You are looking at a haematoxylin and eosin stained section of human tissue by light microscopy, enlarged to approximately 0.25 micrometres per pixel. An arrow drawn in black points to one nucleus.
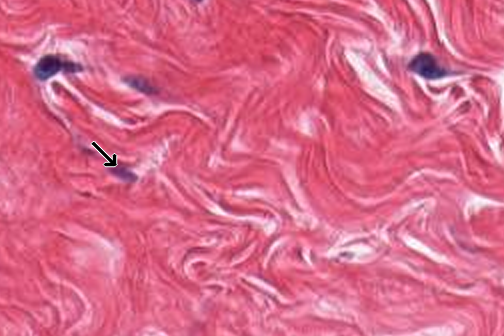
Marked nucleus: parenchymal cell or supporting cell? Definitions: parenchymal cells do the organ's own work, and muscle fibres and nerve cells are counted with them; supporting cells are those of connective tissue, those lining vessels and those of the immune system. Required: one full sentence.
Located within a supporting cell is the nucleus that has been marked.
